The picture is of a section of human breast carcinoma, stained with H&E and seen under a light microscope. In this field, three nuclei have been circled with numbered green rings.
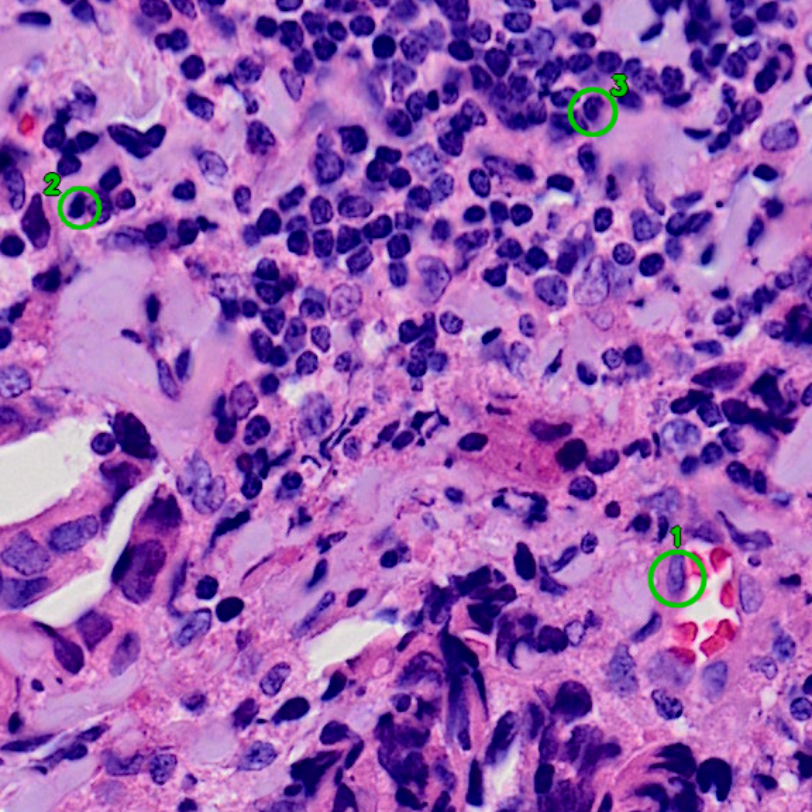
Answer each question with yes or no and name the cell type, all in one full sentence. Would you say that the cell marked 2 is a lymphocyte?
Yes, the cell carrying number 2 is a lymphocyte.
